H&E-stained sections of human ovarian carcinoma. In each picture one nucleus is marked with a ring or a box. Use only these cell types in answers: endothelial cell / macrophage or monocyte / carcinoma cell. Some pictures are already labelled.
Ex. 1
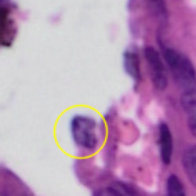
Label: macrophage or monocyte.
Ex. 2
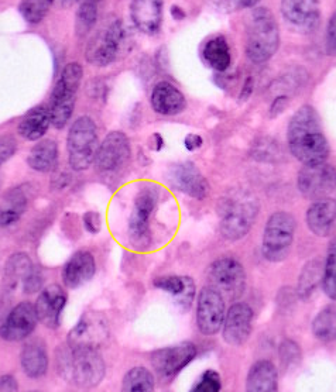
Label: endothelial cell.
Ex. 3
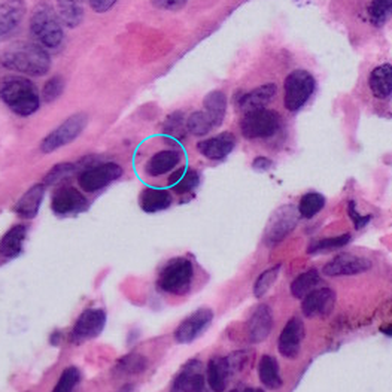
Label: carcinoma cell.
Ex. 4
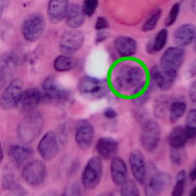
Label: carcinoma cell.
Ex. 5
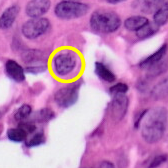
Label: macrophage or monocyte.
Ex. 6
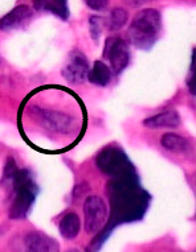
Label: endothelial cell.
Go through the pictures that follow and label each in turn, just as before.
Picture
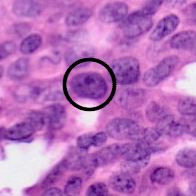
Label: carcinoma cell.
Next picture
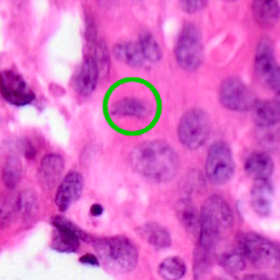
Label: endothelial cell.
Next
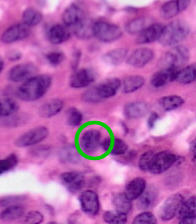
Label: carcinoma cell.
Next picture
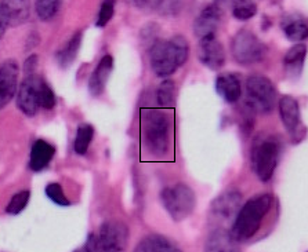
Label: carcinoma cell.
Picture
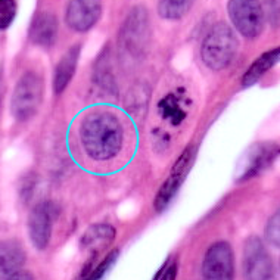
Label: macrophage or monocyte.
